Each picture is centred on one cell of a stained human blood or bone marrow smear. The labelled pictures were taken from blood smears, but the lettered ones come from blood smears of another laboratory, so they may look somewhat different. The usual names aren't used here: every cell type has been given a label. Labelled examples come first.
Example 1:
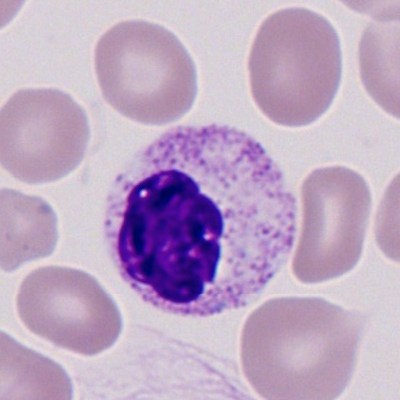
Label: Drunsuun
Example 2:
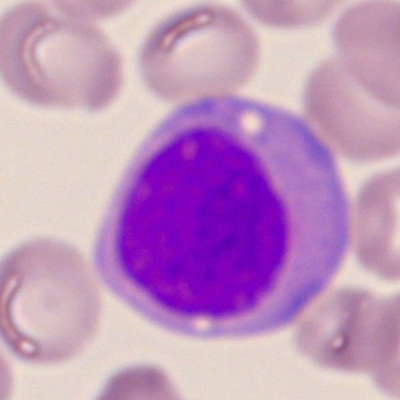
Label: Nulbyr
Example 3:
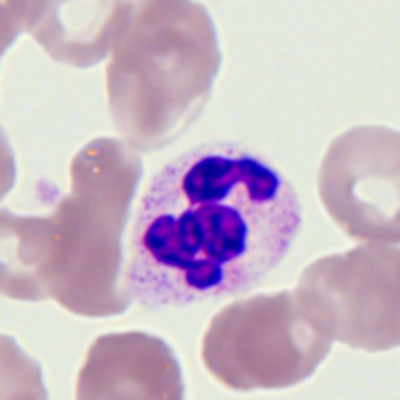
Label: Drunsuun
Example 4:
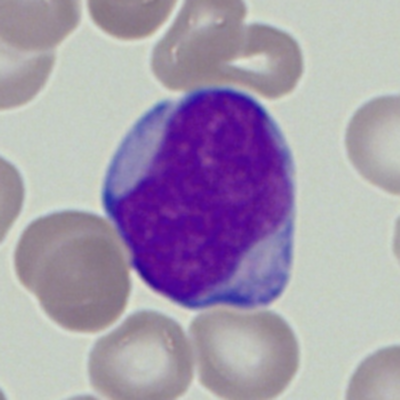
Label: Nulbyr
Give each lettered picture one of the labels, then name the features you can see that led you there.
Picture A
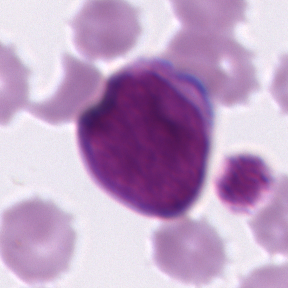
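Nulbyr. Reason: Only a very thin rim of cytoplasm is visible around the nucleus.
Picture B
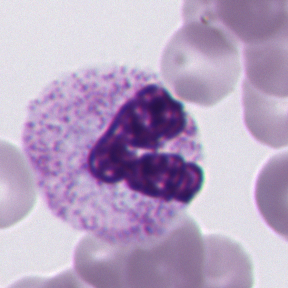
Drunsuun. Reason: The cytoplasm is abundant and pale pinkish-lilac.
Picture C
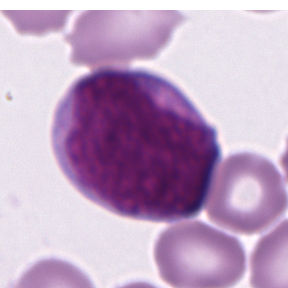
Nulbyr. Reason: The cytoplasm forms a narrow rim that is widest on the left side.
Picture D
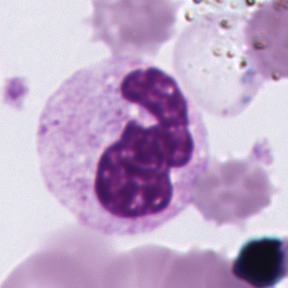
Drunsuun. Reason: The cytoplasm is abundant and pale pinkish-lilac.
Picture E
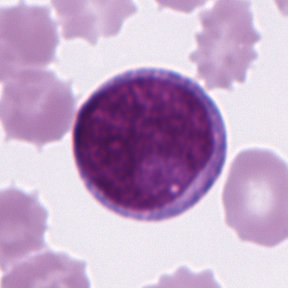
Nulbyr. Reason: The cytoplasm forms a narrow rim that is widest along the lower right side.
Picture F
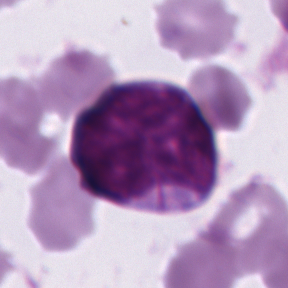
Nulbyr. Reason: The cytoplasm forms only a narrow rim that is widest along the bottom of the cell.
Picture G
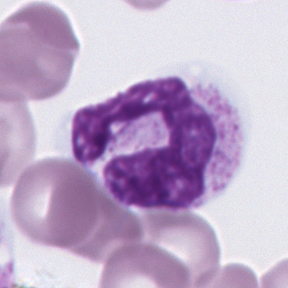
Drunsuun. Reason: The nucleus forms one thick curved band that wraps around a pale central patch of cytoplasm.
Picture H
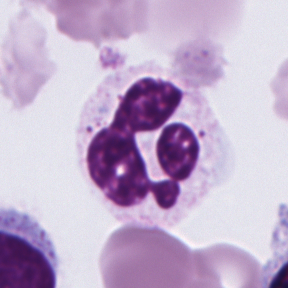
Drunsuun. Reason: The cytoplasm is abundant and pale pinkish-lilac.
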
